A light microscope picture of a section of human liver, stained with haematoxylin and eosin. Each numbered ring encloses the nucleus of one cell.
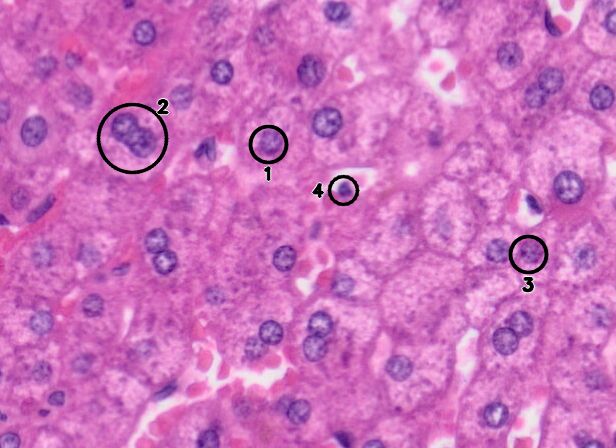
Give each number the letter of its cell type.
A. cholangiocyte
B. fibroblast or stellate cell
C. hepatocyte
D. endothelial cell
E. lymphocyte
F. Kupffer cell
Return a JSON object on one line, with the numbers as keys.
{"1": "C", "2": "C", "3": "C", "4": "E"}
